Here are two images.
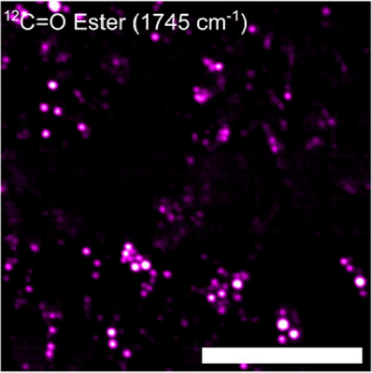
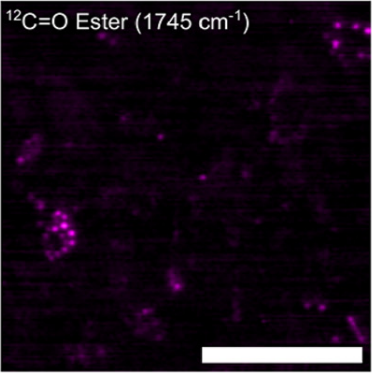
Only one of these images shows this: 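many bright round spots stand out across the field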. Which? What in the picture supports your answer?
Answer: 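The first image. Second image: only a few faint magenta spots, mostly in one small cluster, on a dim background. First image: many bright magenta and white round spots, singly and in clusters, scattered over the field.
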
